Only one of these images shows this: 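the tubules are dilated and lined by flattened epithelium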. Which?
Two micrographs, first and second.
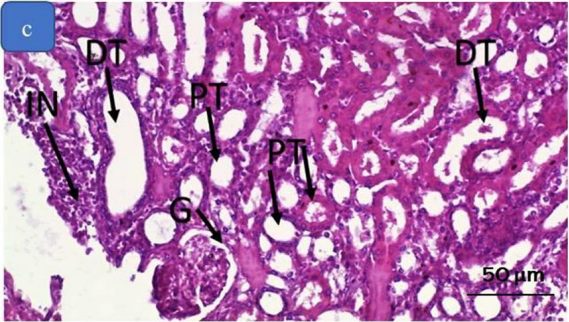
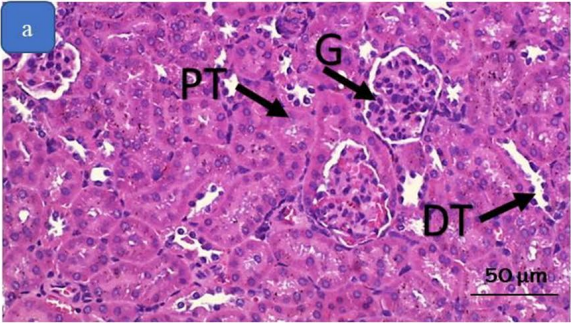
The first image.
